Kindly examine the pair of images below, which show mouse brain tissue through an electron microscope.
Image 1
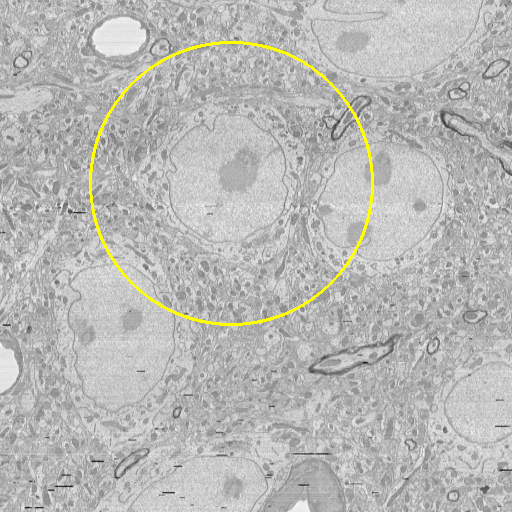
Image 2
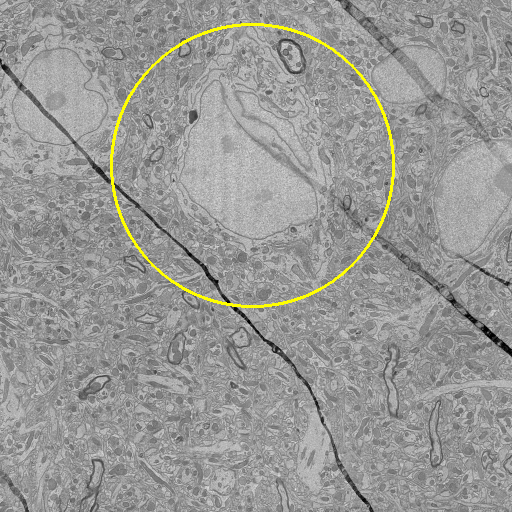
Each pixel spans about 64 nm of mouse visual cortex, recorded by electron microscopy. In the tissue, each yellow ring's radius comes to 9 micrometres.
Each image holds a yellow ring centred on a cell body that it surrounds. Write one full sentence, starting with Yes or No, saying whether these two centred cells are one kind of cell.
No, the cells at the centres of the yellow rings belong to two kinds of cell.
